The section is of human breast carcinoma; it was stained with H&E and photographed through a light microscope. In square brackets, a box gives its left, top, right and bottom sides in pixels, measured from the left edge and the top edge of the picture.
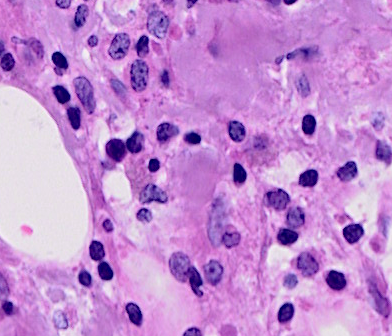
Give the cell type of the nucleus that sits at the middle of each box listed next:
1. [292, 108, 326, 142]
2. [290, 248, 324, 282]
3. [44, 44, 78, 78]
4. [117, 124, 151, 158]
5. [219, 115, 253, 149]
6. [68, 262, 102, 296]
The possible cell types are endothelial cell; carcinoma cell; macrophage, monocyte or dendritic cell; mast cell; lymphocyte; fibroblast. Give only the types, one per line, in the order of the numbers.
lymphocyte
macrophage, monocyte or dendritic cell
lymphocyte
lymphocyte
mast cell
lymphocyte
